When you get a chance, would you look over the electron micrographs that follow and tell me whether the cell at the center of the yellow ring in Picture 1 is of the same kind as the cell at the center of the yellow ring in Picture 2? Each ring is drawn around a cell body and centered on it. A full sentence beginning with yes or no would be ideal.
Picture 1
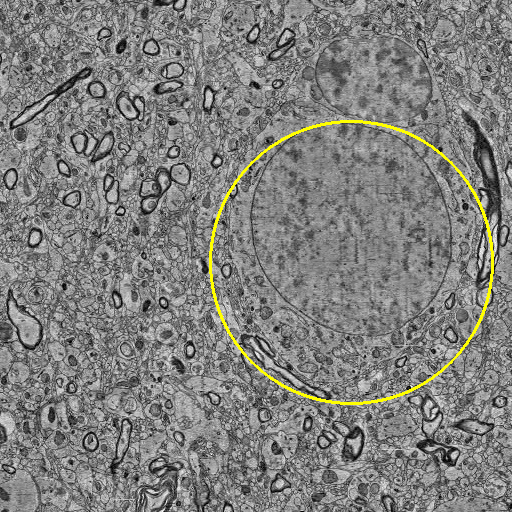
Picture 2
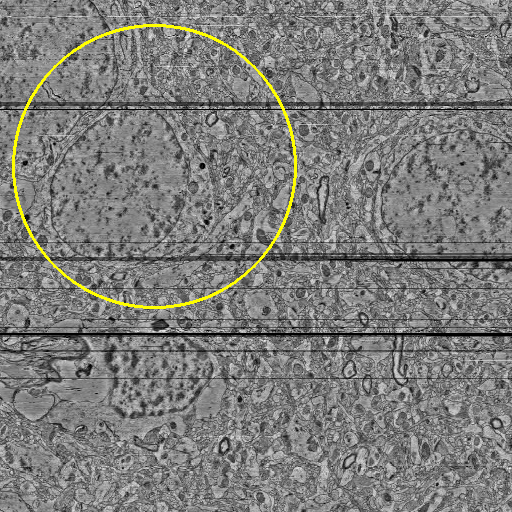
Yes, the two cells are of the same kind.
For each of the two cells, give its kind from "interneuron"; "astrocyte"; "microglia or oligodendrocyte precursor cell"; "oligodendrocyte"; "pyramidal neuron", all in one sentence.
The cell at the ring centre is a pyramidal neuron in both pictures.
